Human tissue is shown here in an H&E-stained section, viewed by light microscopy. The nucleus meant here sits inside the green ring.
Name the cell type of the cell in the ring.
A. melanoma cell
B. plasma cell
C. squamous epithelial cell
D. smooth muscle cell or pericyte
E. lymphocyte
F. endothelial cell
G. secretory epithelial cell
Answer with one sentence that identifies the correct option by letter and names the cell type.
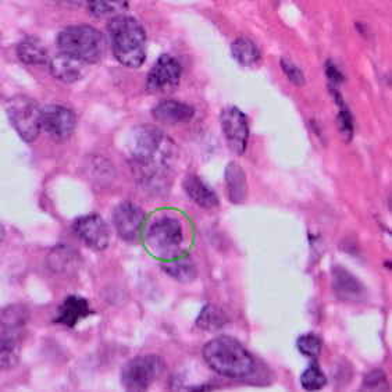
Option A is the correct one, since the cell in the ring is a melanoma cell.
